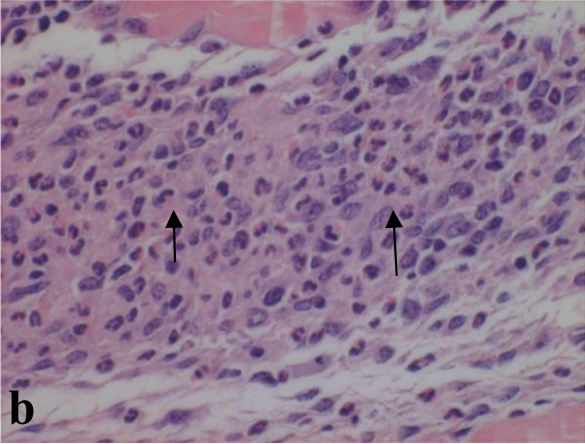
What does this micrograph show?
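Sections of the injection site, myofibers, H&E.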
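This is skeletal muscle heavily infiltrated by inflammatory cells, which form a dense sheet between the pink muscle fibres. The infiltrate is mixed, with cells of differing nuclear shape, some round nuclei with pink cytoplasm and others more irregular, packed closely together.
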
